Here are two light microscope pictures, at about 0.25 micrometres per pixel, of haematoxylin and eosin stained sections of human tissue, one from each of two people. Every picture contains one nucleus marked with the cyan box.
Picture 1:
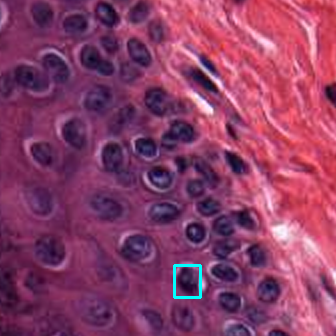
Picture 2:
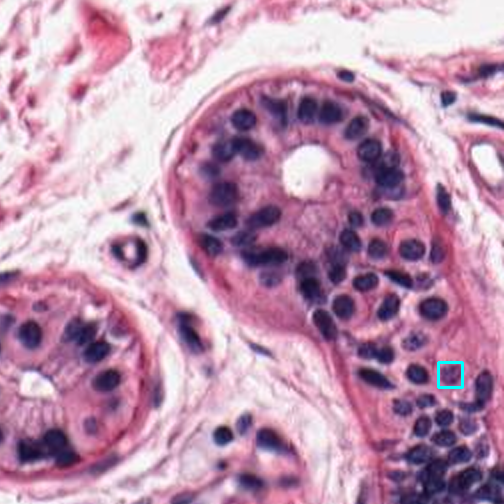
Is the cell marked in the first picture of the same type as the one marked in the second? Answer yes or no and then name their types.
No, the first is a keratinocyte and the second a sweat gland cell.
